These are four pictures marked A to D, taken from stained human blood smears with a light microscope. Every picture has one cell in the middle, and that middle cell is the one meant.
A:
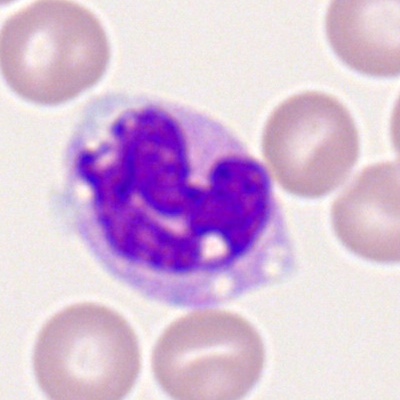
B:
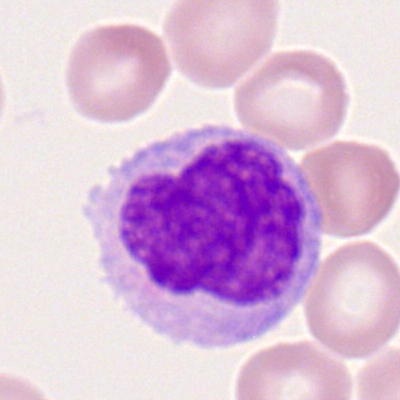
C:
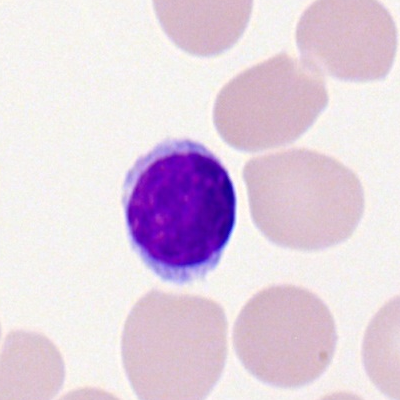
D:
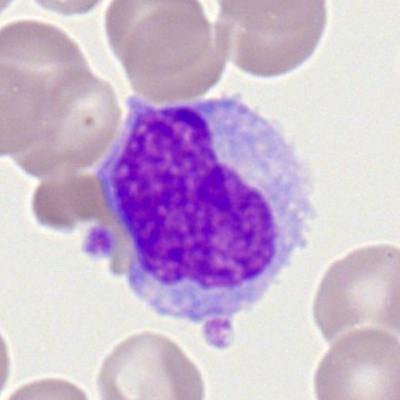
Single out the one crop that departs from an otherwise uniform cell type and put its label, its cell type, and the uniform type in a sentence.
What sets crop C apart is that it is a lymphocyte; the others are all monocytes.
